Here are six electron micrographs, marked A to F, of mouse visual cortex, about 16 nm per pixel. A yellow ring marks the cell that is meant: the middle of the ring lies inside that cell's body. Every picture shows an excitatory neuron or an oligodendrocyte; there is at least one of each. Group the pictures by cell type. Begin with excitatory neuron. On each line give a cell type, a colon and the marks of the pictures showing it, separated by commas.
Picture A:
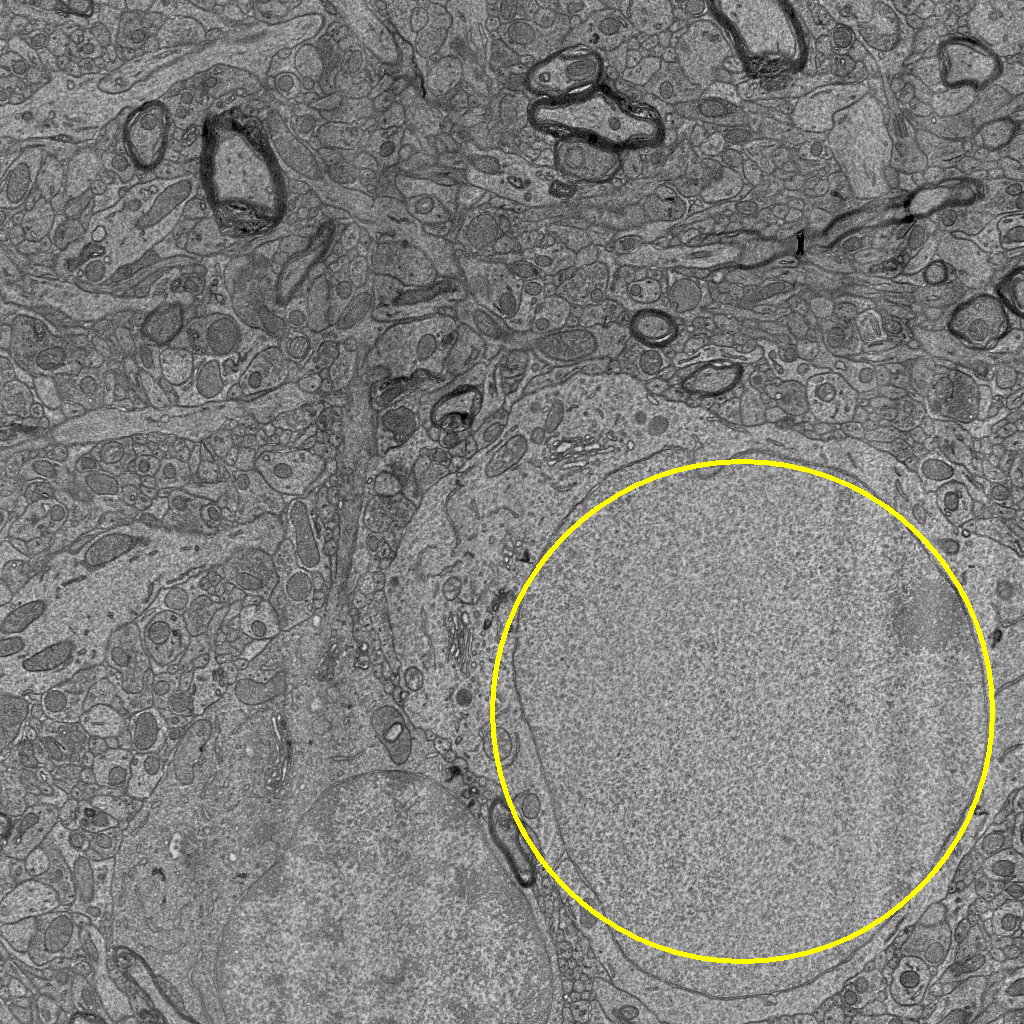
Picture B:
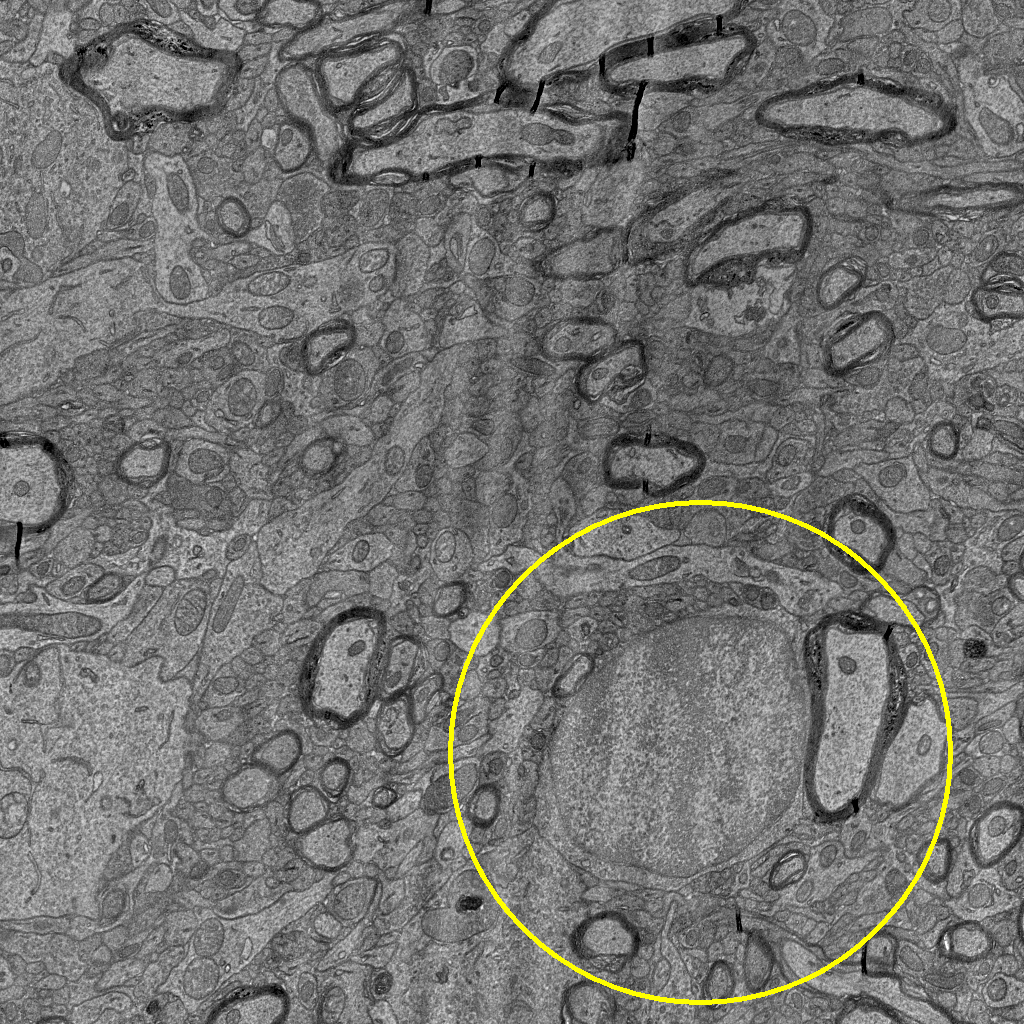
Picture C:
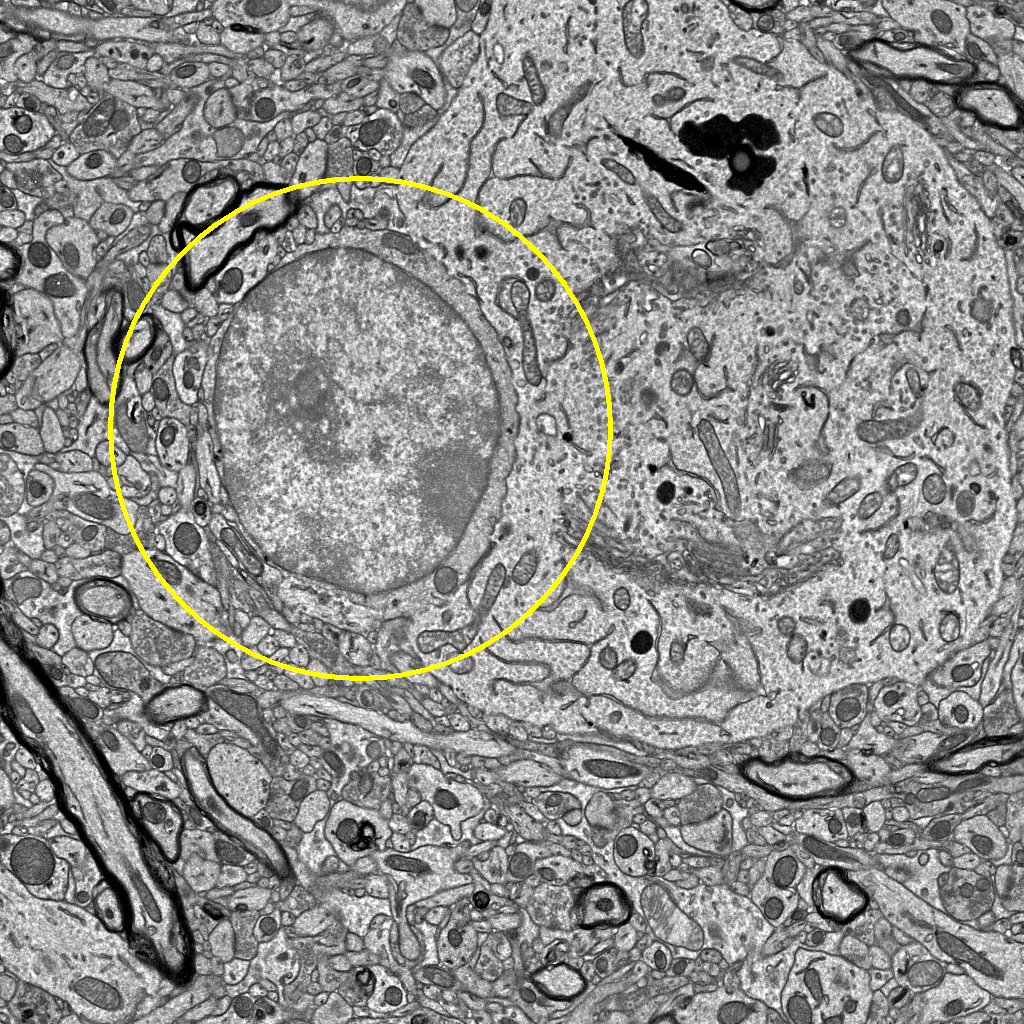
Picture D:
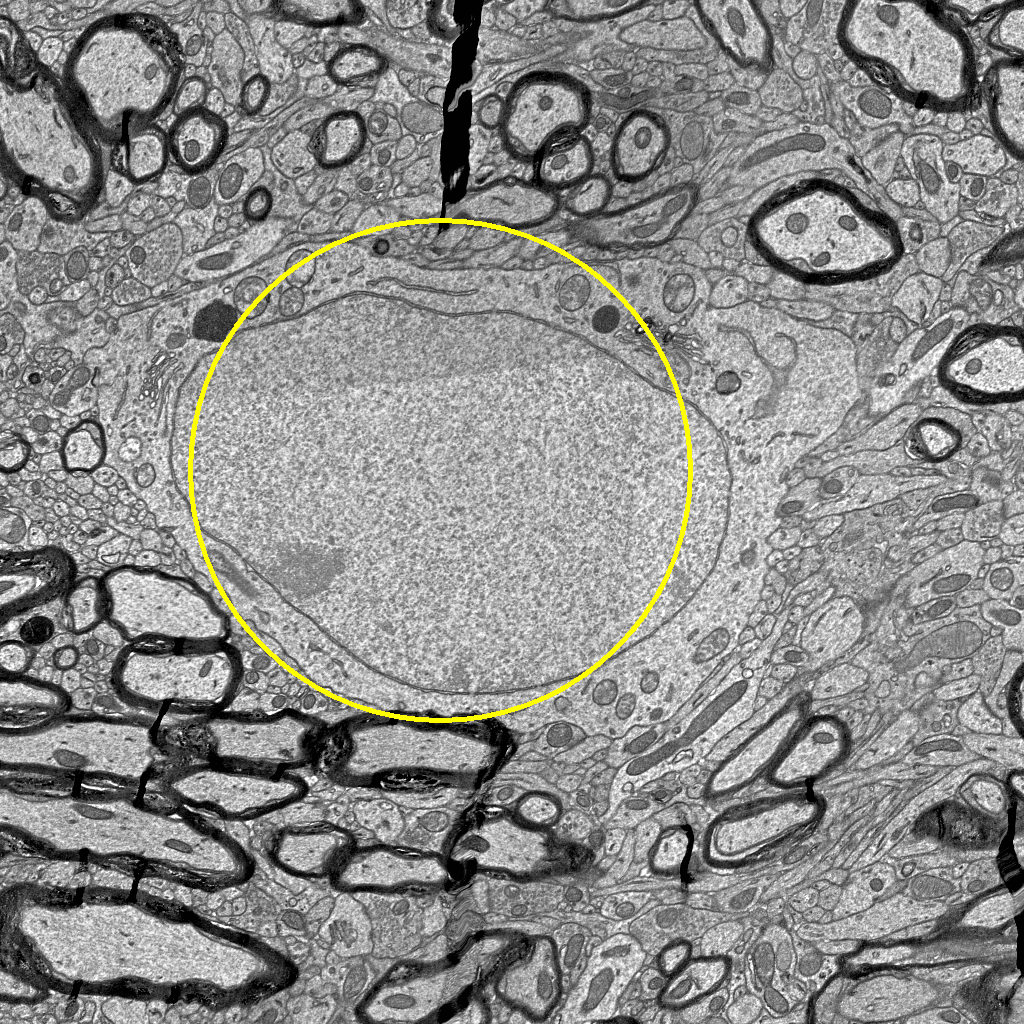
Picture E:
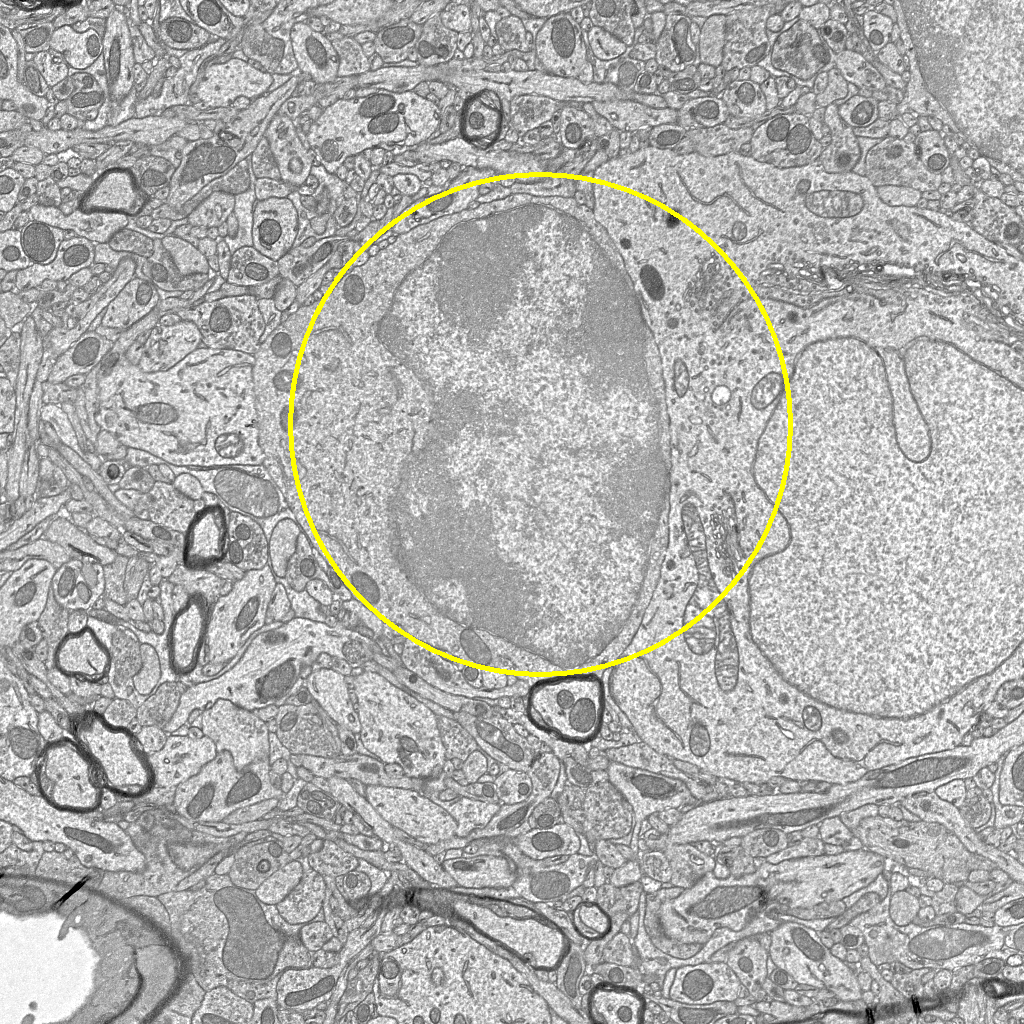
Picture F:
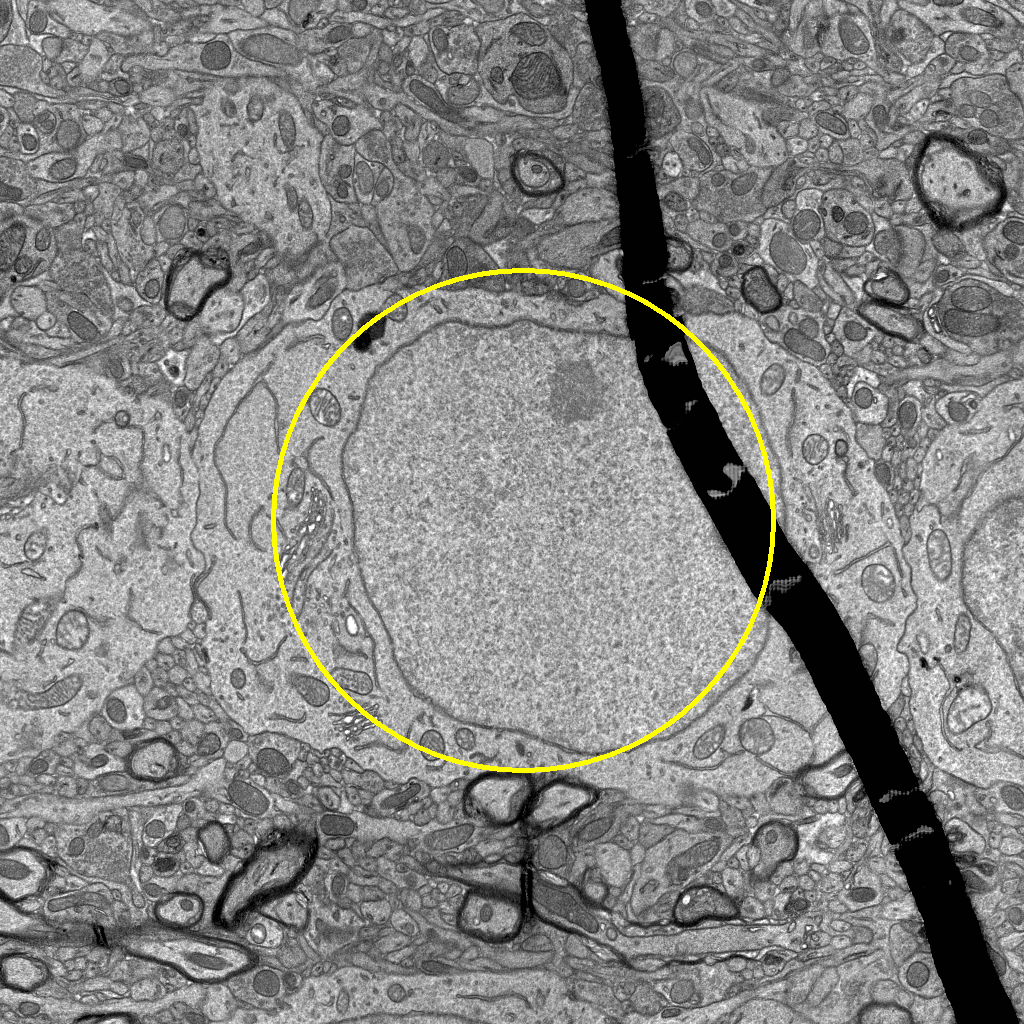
excitatory neuron: A, D, F
oligodendrocyte: B, C, E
